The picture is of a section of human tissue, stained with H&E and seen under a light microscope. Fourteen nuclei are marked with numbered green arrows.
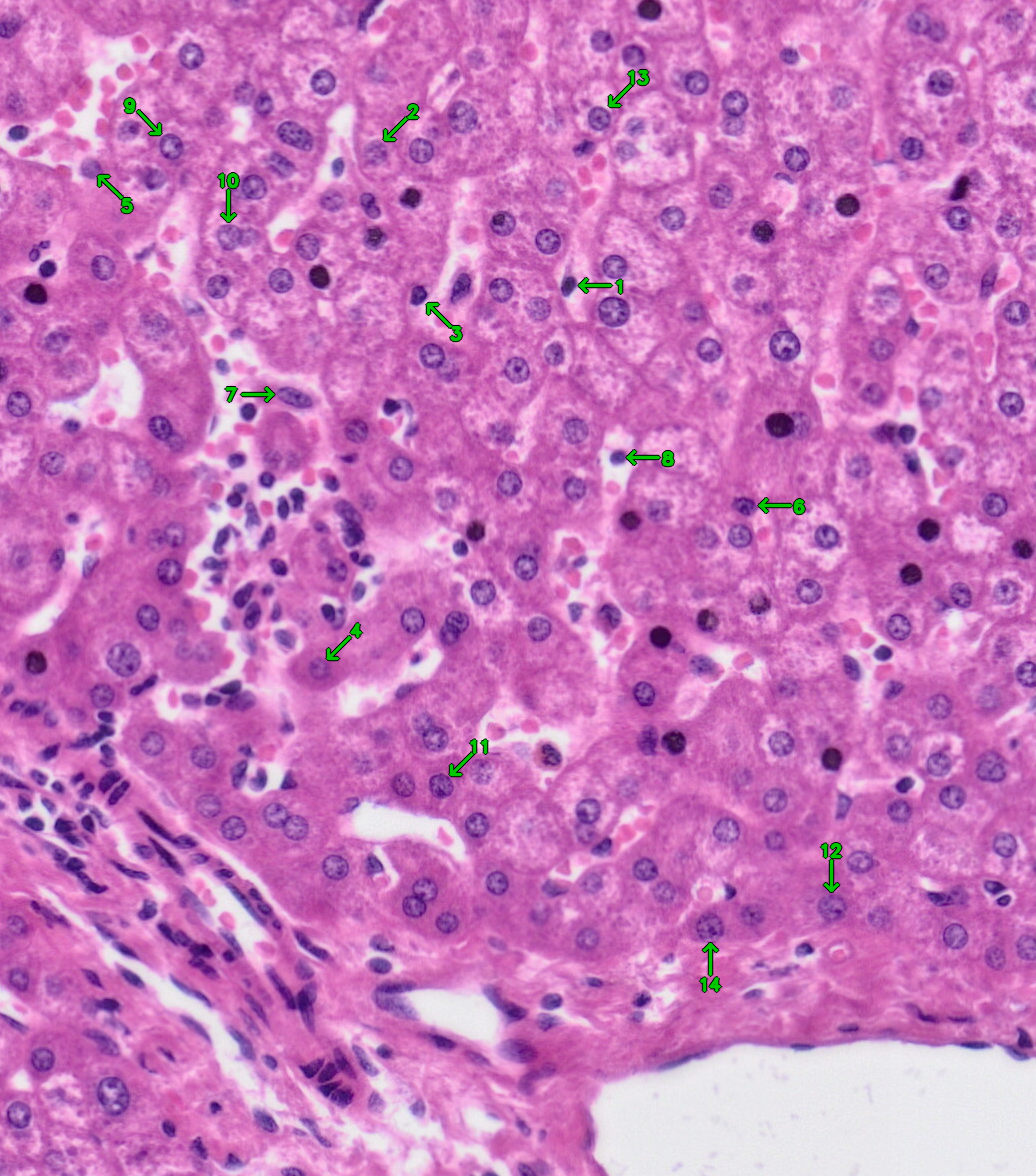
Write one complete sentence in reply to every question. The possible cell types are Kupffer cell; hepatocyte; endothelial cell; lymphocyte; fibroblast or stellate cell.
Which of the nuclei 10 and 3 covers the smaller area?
Number 3 is smaller, since number 10 takes up about 1.5 times as much area.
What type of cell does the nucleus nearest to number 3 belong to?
The nearest nucleus to number 3 belongs to a Kupffer cell.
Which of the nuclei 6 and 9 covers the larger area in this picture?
It is nucleus 9, which covers about 1.5 times the area of nucleus 6.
